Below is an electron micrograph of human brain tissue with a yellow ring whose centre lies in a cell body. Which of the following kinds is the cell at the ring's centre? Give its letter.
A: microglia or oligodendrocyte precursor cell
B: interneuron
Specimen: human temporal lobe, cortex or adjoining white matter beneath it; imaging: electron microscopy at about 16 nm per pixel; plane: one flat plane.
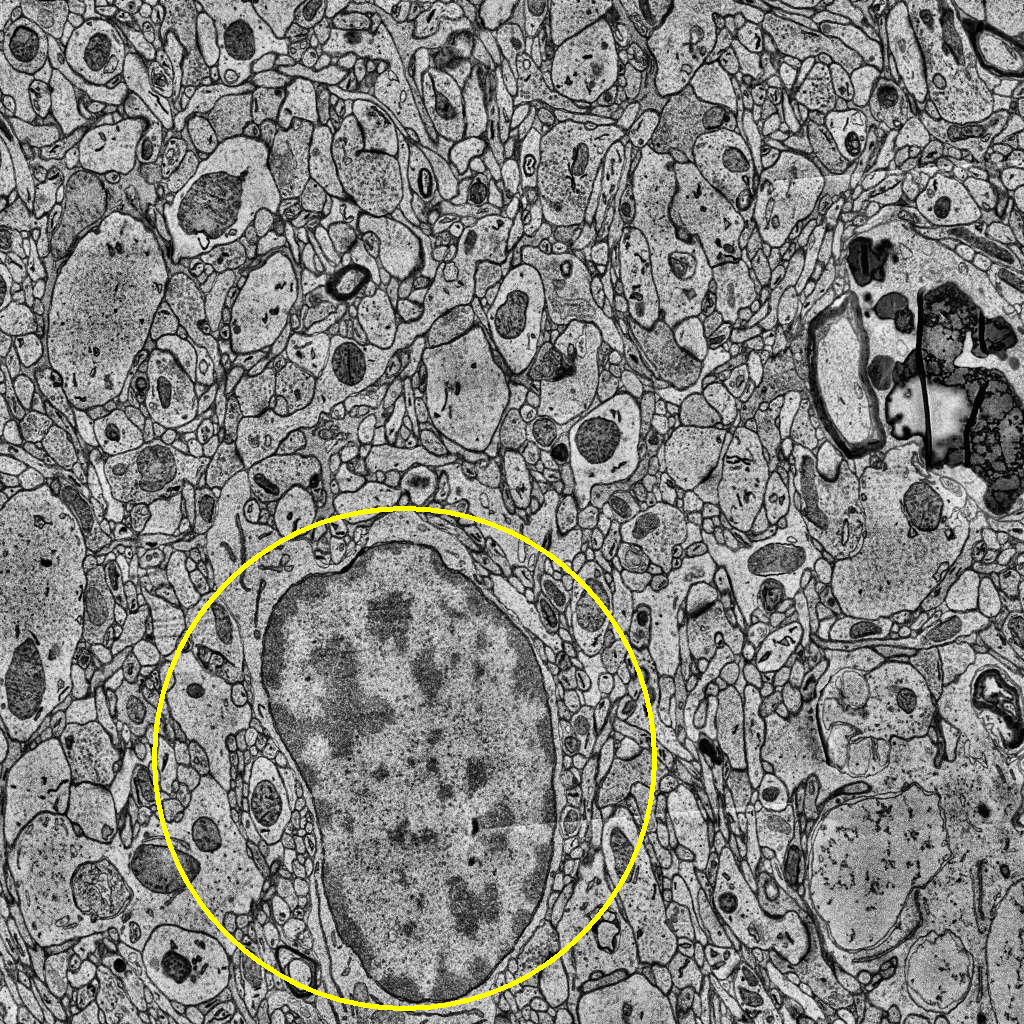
A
